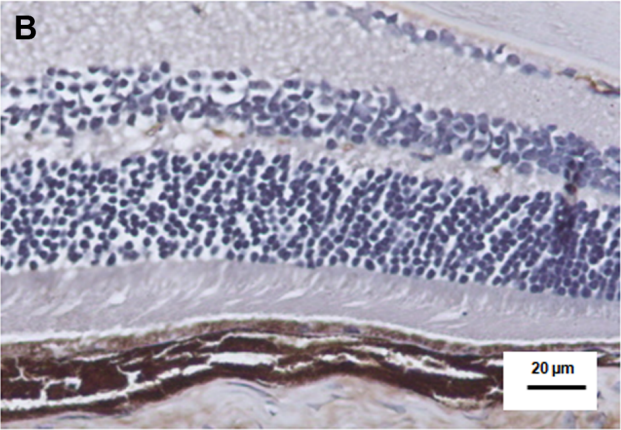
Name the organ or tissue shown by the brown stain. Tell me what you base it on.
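A thick, dark brown band runs along the bottom of the section. It lies below the pale striated layer of photoreceptor segments. The brown band is layered and contains elongated, vessel-like spaces.
Hence: choroid.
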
